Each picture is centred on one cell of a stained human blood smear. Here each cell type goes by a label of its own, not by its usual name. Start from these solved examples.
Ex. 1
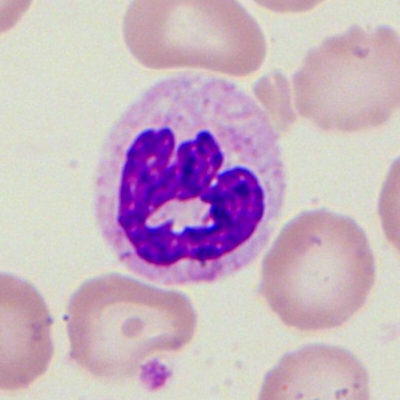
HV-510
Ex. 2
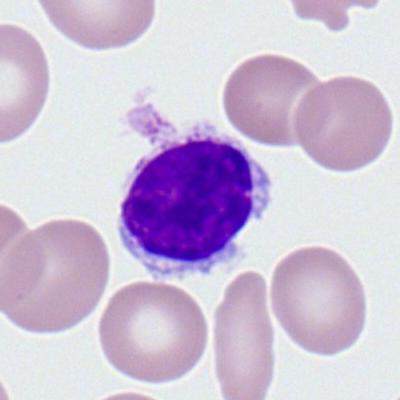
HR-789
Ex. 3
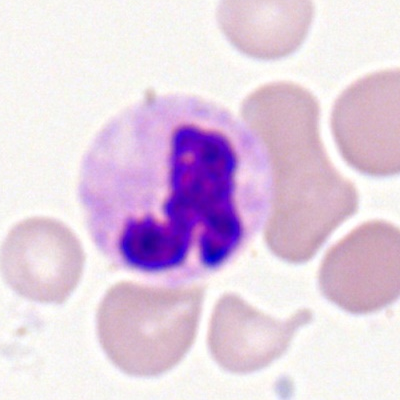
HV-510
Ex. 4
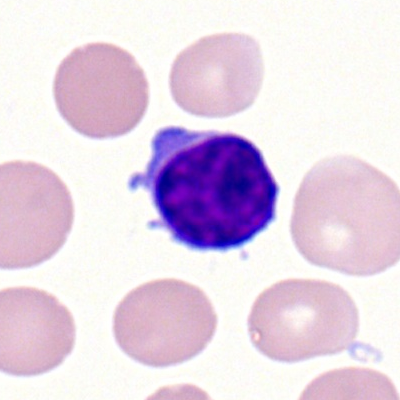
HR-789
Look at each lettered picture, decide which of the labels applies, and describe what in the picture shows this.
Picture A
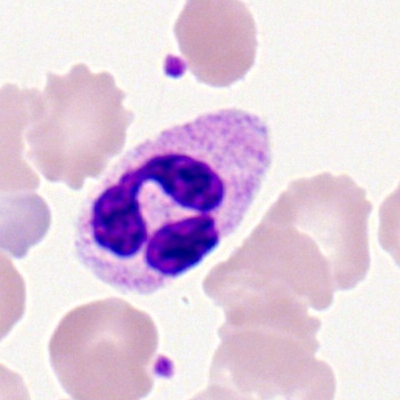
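HV-510: The nucleus is divided into three lobes.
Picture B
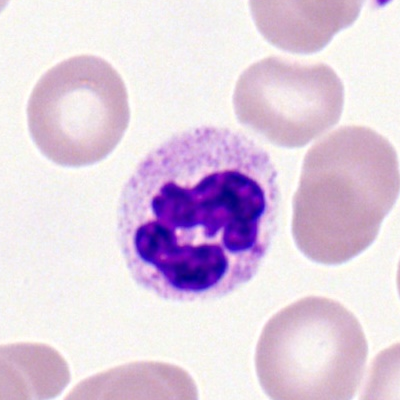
HV-510: The nuclear lobes curve around a small pale patch near the centre of the cell.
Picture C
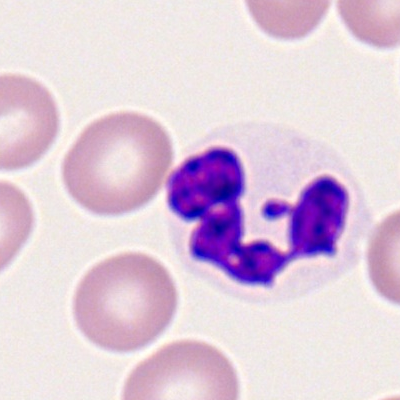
HV-510: The nucleus is divided into separate lobes joined by narrow parts.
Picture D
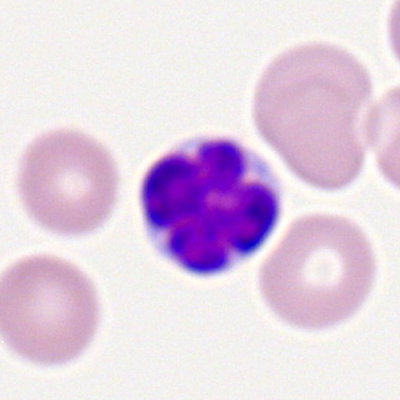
HR-789: The nucleus fills most of the cell.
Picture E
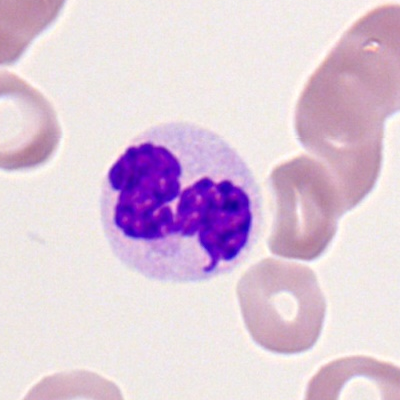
HV-510: The nucleus is divided into two lobes.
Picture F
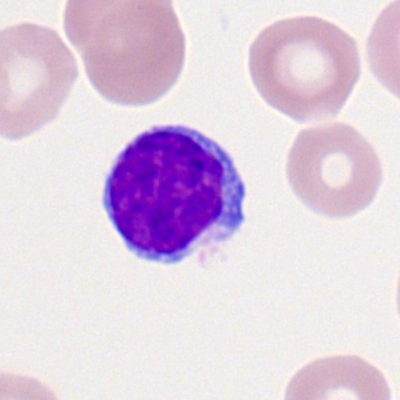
HR-789: The cytoplasm is a thin rim that is widest on the right side.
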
